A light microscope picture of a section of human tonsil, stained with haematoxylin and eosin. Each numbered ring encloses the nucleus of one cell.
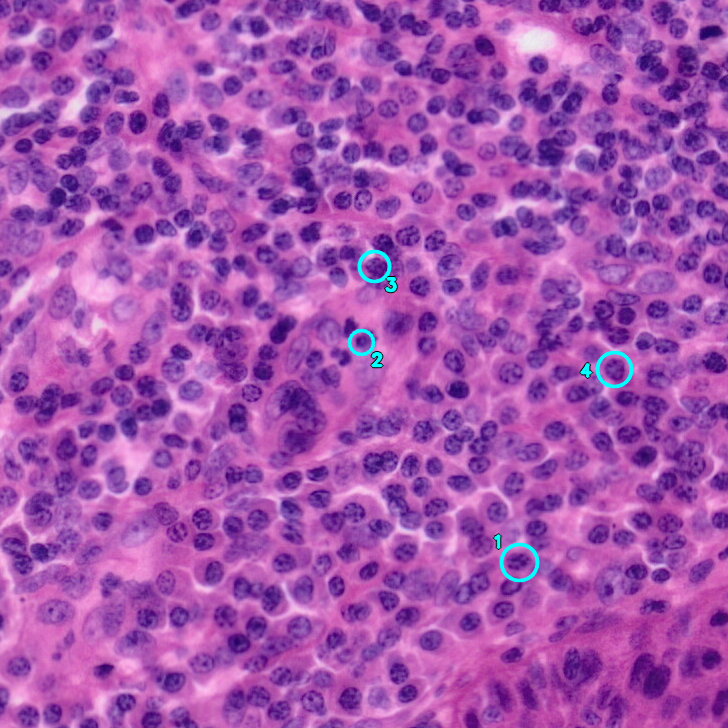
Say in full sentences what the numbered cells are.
Cell 1 is a plasma cell, cell 2 is an endothelial cell, cell 3 is a plasma cell and cell 4 is a plasma cell.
